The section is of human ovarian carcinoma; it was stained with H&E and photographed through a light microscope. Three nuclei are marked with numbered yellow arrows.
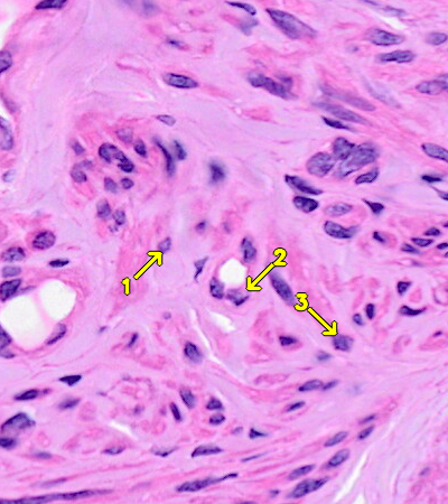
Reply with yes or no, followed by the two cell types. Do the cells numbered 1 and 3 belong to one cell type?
Yes, along with cell 1, cell 3 is also among the smooth muscle cells.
